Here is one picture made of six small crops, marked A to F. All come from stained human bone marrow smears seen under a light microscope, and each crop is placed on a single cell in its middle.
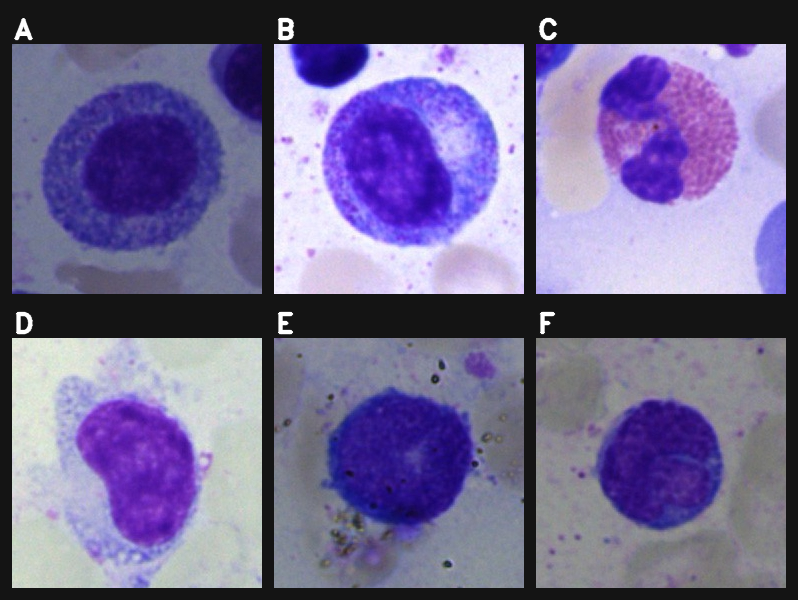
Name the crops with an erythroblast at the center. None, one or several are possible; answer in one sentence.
No crop at all in this series shows an erythroblast.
